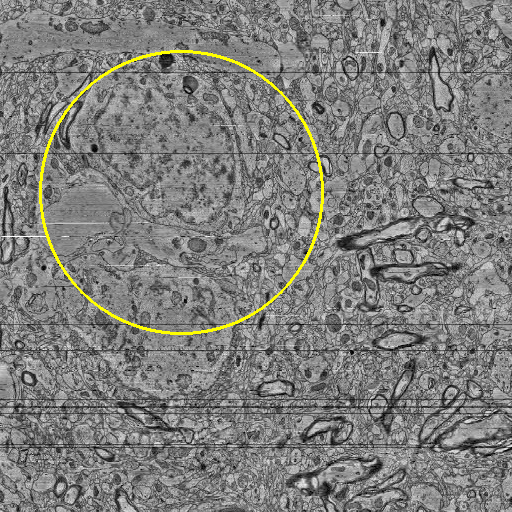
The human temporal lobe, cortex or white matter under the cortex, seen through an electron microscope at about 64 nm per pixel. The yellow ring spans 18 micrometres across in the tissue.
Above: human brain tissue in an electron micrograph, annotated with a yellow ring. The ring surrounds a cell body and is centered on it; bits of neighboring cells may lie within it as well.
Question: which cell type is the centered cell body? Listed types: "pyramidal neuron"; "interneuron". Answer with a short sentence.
The centered cell body is an interneuron.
